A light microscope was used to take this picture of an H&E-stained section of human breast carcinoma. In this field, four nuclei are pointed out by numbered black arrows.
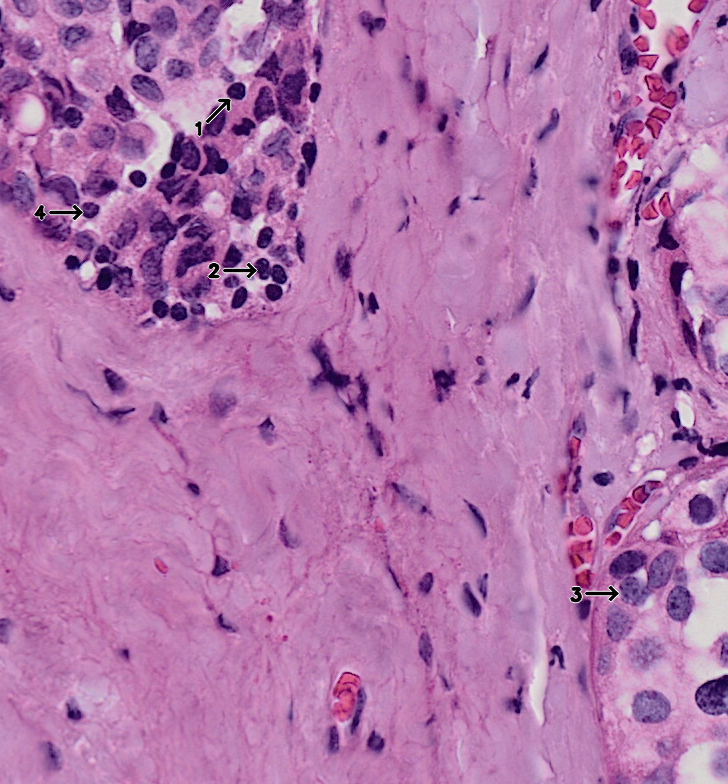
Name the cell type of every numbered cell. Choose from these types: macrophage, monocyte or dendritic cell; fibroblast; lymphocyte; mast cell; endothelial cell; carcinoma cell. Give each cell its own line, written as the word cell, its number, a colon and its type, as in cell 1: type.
cell 1: lymphocyte
cell 2: lymphocyte
cell 3: carcinoma cell
cell 4: lymphocyte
